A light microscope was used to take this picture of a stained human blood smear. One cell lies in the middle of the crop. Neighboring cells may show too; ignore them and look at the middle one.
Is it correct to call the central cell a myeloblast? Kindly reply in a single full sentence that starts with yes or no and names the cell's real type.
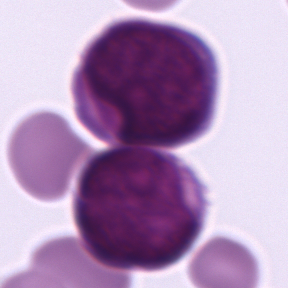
Yes, the identity of the central cell is that of a myeloblast.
